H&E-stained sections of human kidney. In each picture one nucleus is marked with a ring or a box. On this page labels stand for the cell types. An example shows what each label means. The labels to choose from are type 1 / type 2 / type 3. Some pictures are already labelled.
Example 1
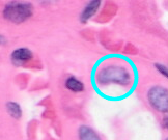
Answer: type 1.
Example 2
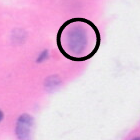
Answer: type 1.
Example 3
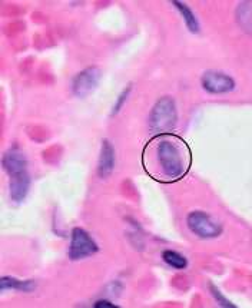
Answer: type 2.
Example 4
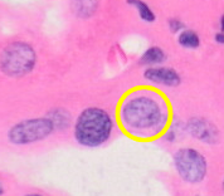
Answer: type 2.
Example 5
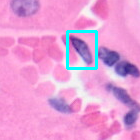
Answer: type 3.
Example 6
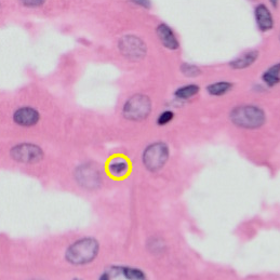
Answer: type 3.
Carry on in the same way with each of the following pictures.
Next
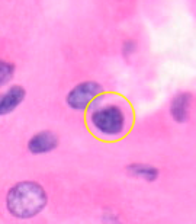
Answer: type 1.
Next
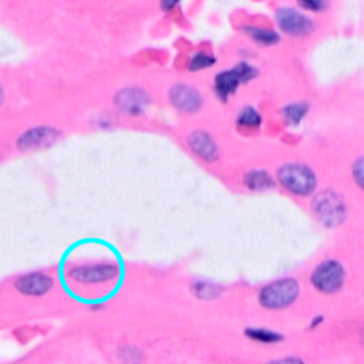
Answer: type 1.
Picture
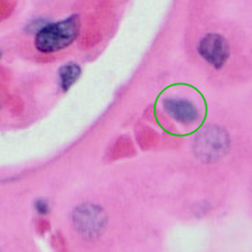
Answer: type 3.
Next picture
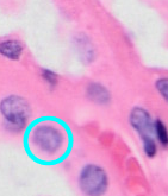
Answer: type 2.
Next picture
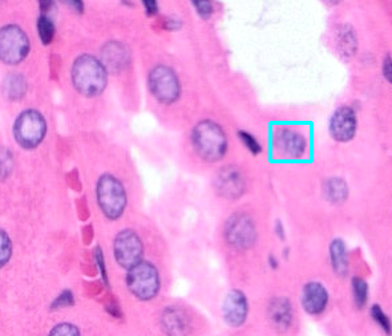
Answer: type 1.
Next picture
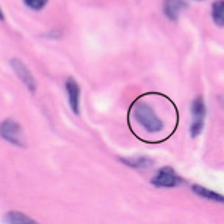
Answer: type 3.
